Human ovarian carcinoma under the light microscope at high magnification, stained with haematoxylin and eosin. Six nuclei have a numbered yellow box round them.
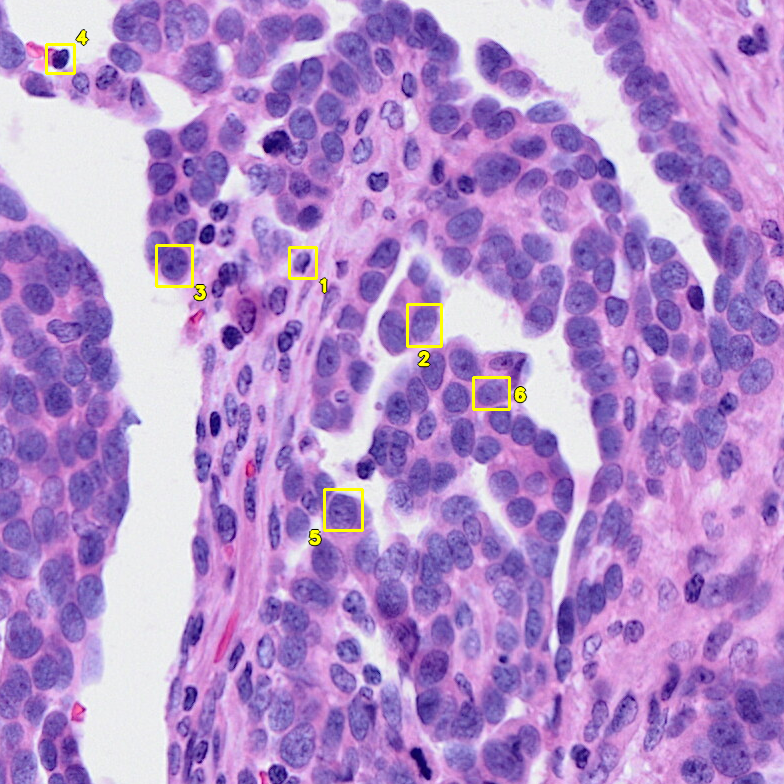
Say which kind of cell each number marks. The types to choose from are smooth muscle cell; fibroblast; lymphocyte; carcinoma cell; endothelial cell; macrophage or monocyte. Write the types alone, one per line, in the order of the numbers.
lymphocyte
carcinoma cell
carcinoma cell
lymphocyte
carcinoma cell
carcinoma cell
